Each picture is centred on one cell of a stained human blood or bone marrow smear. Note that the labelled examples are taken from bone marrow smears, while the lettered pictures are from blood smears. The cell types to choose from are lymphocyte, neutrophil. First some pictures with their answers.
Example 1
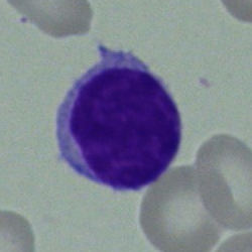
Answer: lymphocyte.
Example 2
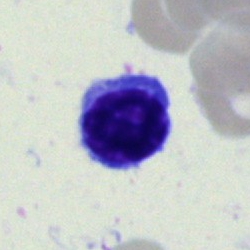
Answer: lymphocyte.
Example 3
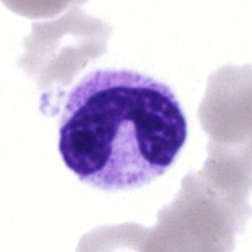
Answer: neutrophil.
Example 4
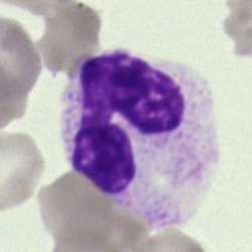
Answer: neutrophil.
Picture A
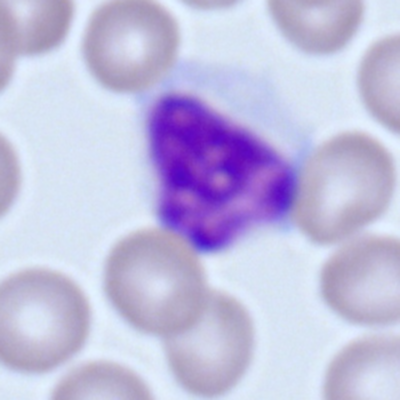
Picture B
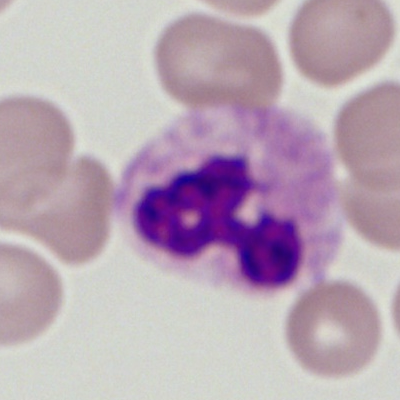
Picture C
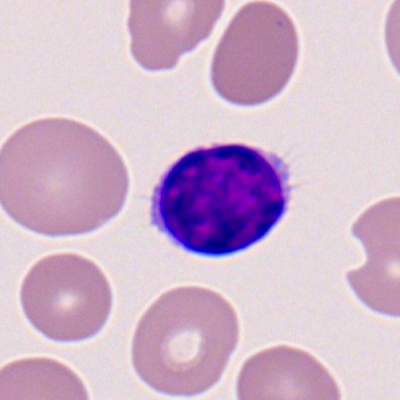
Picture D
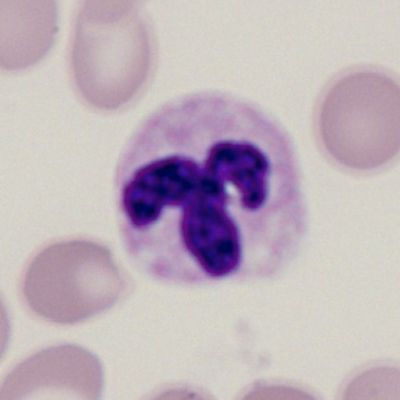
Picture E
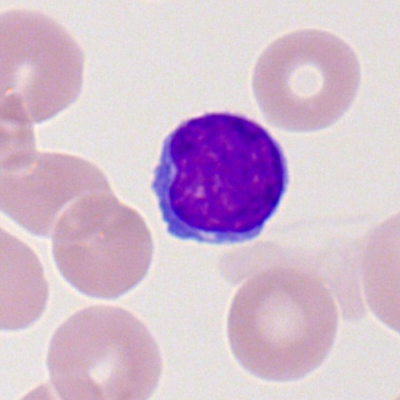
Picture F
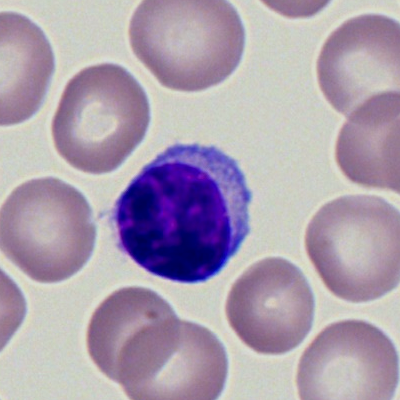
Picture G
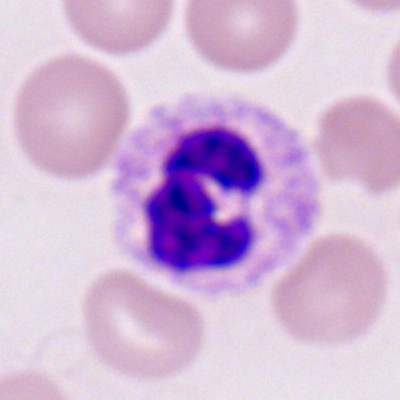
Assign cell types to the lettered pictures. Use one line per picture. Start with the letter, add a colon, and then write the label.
A: lymphocyte.
B: neutrophil.
C: lymphocyte.
D: neutrophil.
E: lymphocyte.
F: lymphocyte.
G: neutrophil.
